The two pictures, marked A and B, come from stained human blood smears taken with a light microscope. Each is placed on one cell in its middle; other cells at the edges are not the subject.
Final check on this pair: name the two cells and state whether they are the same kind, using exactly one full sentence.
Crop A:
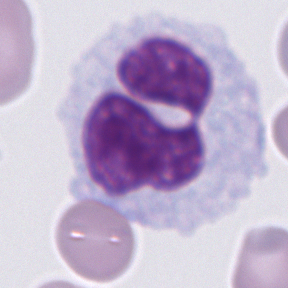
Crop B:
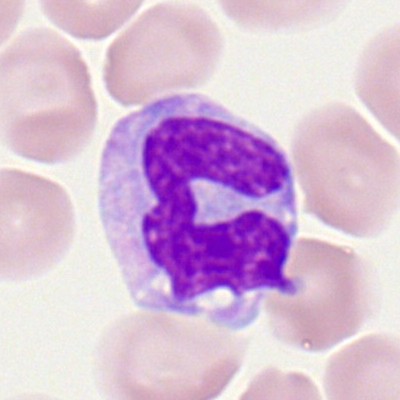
Yes, both crops depict monocytes at the centre.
